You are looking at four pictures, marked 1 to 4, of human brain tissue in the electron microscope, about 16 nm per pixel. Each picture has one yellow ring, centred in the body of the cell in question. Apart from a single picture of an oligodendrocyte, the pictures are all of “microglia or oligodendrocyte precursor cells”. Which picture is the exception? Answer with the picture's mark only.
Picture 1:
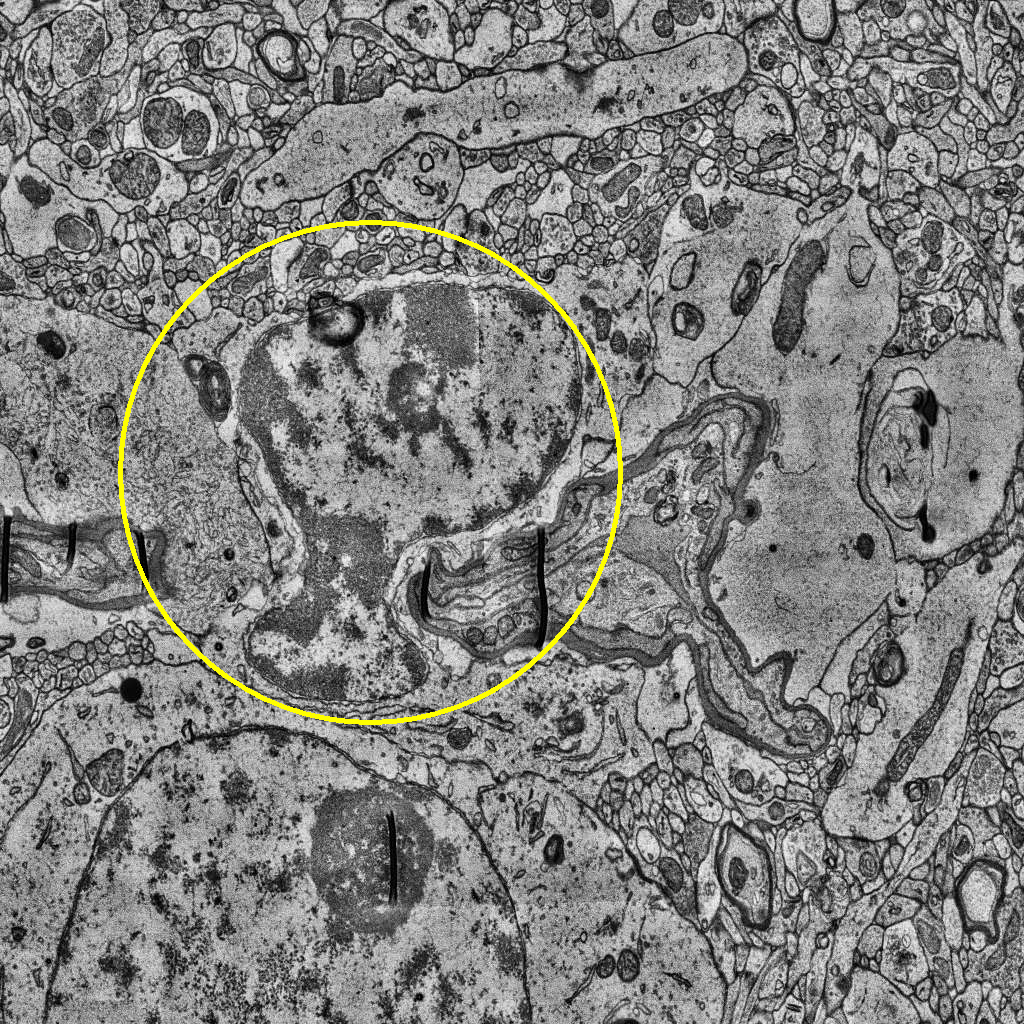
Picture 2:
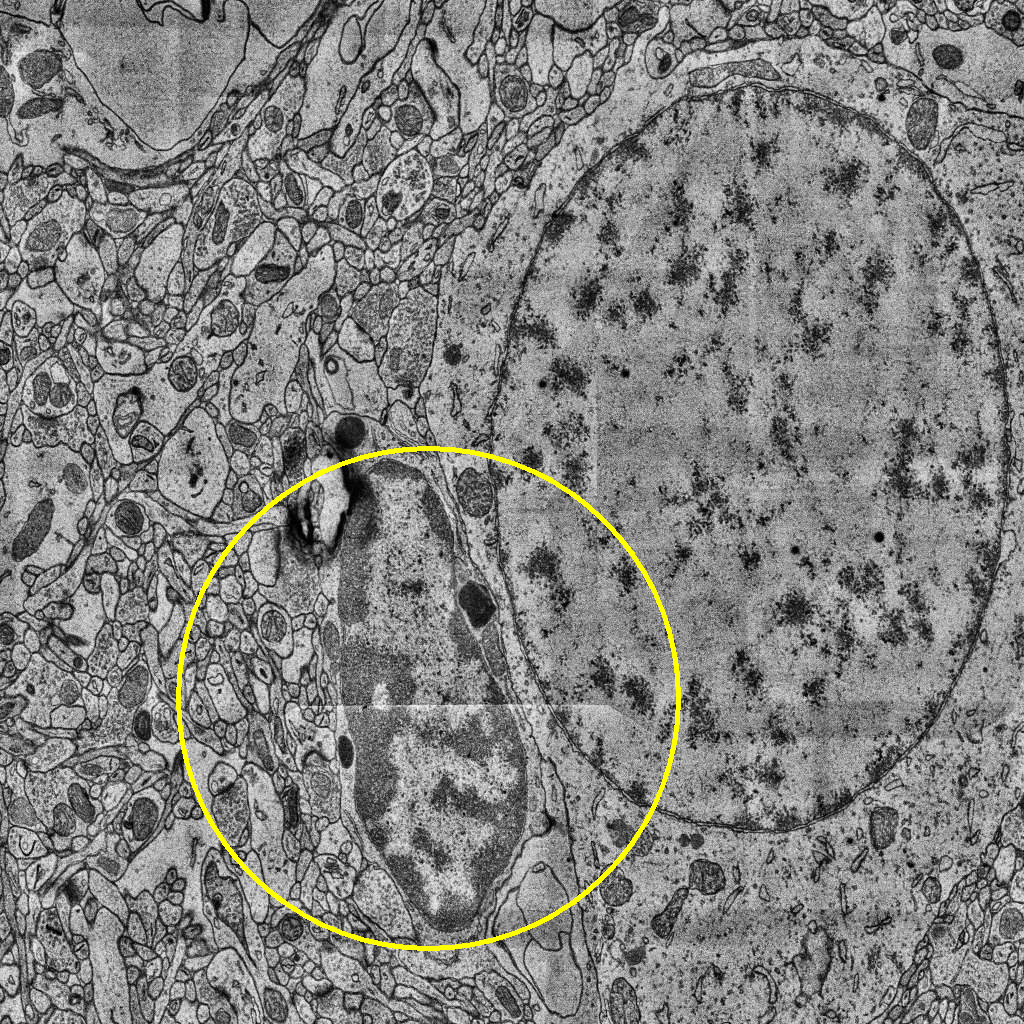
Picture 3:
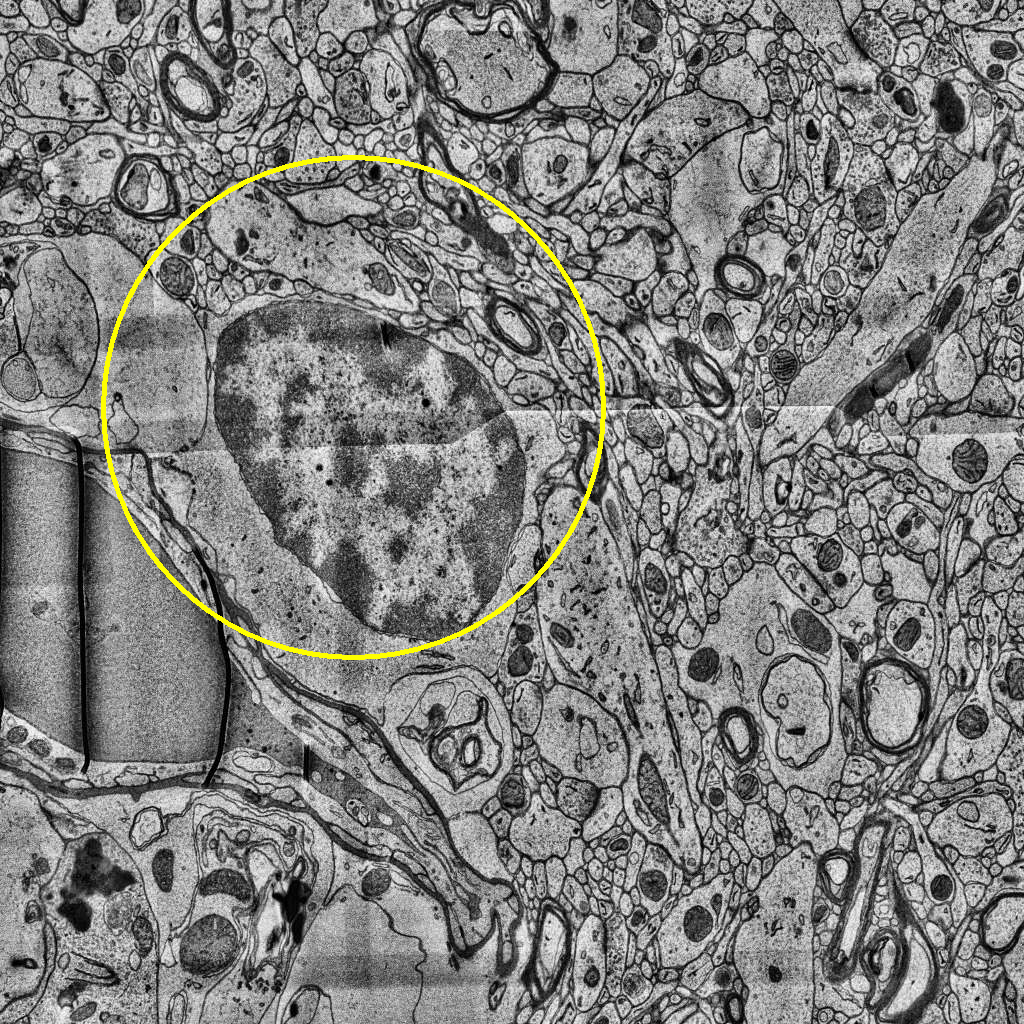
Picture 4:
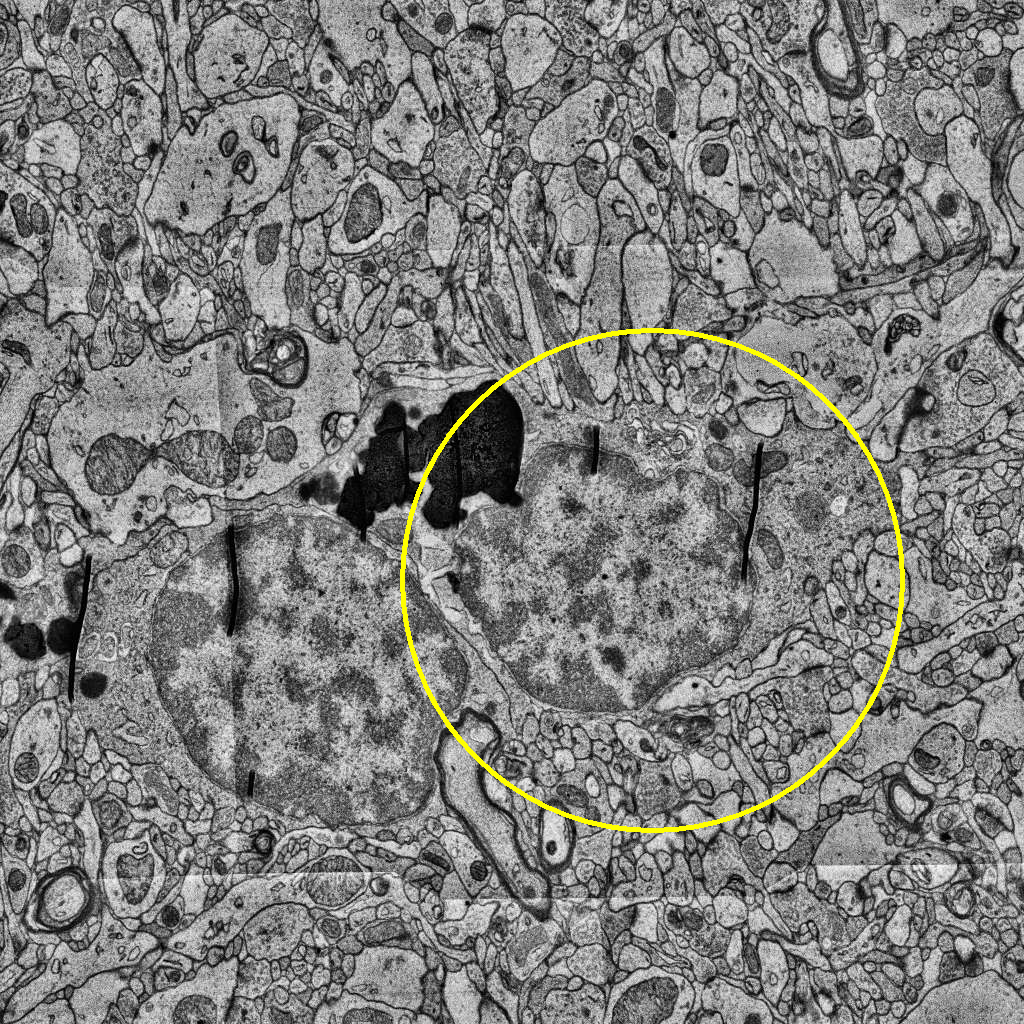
4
